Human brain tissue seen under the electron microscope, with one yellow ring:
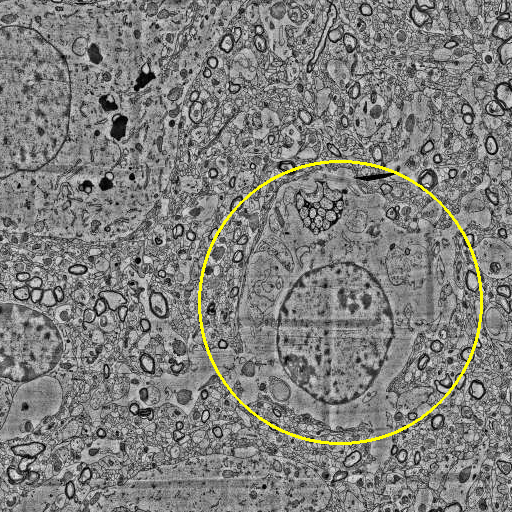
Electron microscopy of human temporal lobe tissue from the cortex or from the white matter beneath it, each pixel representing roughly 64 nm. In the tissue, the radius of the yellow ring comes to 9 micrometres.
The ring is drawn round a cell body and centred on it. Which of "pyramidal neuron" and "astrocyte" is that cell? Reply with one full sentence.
The picture shows an astrocyte at the very centre of the yellow ring.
